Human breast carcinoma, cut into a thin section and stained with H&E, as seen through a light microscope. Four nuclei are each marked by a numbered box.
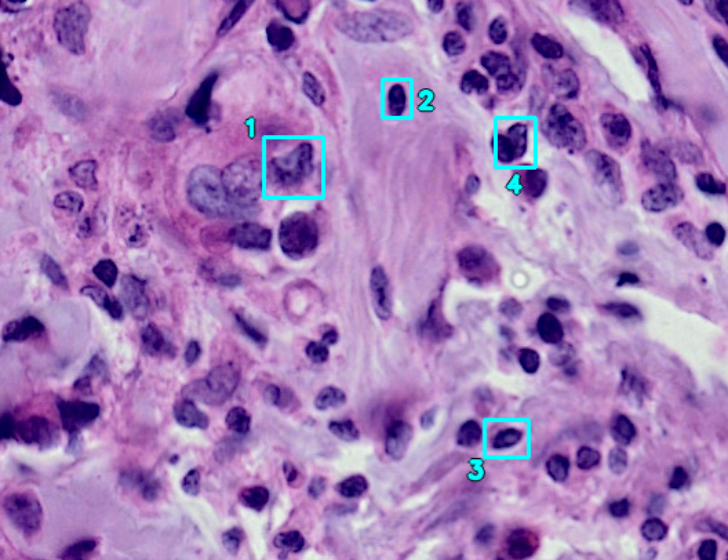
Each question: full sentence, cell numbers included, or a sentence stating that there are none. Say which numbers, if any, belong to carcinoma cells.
Cell 1 is a carcinoma cell, while every other numbered cell is not.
